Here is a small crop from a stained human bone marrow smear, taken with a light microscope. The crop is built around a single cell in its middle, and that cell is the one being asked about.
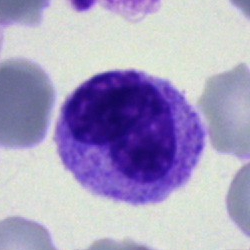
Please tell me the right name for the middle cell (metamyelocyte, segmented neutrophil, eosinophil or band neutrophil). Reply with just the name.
metamyelocyte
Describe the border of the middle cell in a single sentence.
Happy to help: the outline is smooth and shows no projections.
